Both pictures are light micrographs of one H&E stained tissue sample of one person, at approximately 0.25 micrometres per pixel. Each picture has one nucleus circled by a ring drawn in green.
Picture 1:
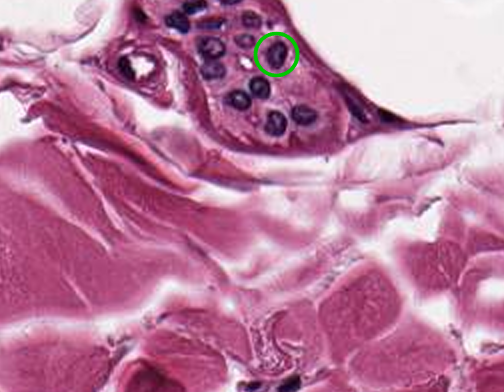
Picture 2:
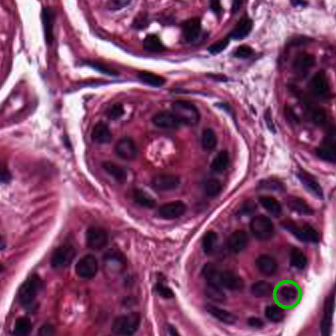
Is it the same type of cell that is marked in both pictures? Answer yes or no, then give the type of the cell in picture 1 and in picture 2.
Yes, both are sweat gland cells.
